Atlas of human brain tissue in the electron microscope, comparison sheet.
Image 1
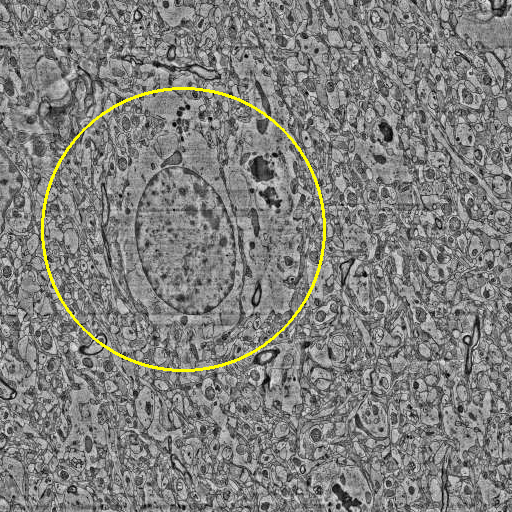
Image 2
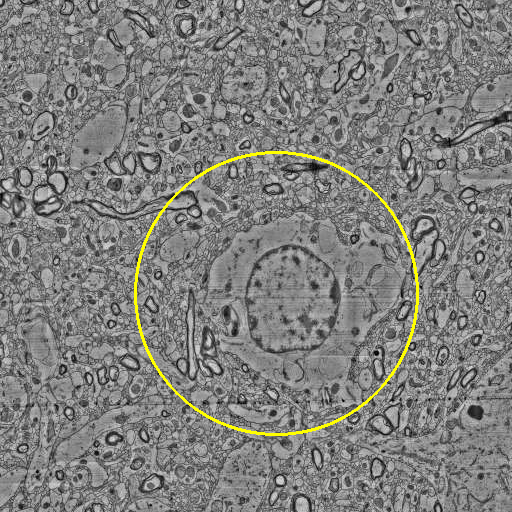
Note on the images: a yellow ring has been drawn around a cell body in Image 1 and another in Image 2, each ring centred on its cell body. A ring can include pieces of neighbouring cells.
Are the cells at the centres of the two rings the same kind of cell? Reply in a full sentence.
Yes, both cells are of the same kind.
